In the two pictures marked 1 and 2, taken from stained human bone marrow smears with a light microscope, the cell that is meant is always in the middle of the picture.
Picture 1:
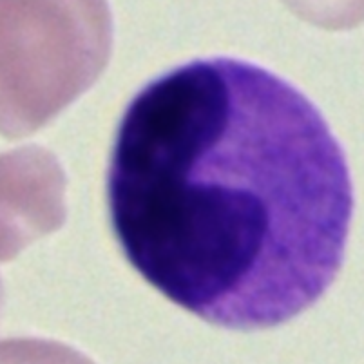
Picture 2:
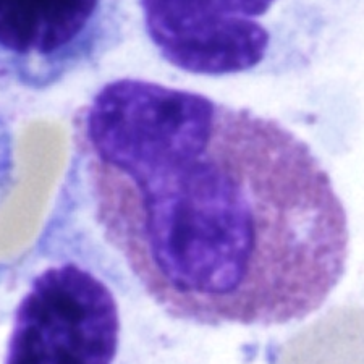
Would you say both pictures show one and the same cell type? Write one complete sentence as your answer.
No, they differ: the cell is a band neutrophil in picture 1 and an eosinophil in picture 2.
